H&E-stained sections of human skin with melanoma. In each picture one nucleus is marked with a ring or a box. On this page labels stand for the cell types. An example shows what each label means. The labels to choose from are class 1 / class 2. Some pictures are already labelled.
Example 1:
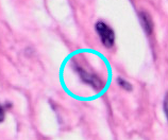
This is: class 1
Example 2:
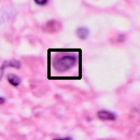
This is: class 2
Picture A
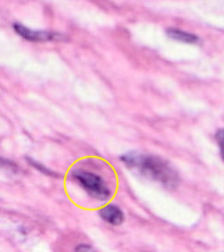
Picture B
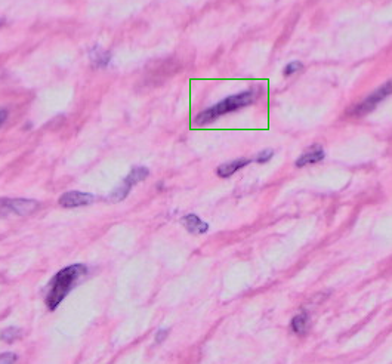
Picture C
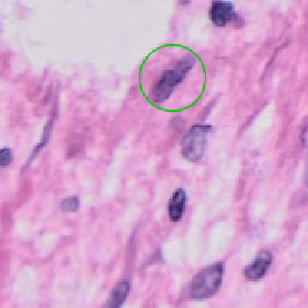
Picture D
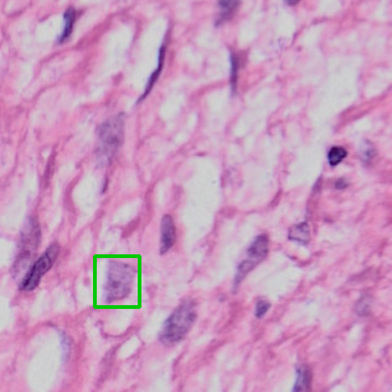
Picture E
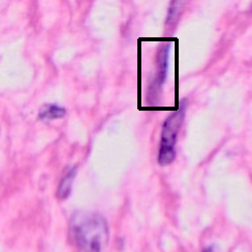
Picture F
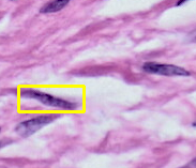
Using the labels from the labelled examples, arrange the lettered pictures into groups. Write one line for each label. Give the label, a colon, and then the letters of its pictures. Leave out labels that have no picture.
class 1: B, D, E, F
class 2: A, C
